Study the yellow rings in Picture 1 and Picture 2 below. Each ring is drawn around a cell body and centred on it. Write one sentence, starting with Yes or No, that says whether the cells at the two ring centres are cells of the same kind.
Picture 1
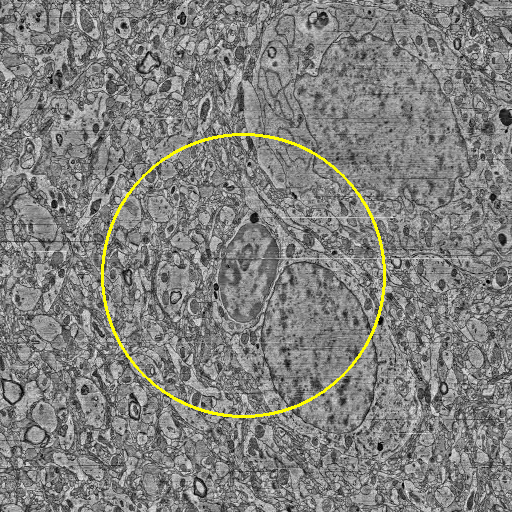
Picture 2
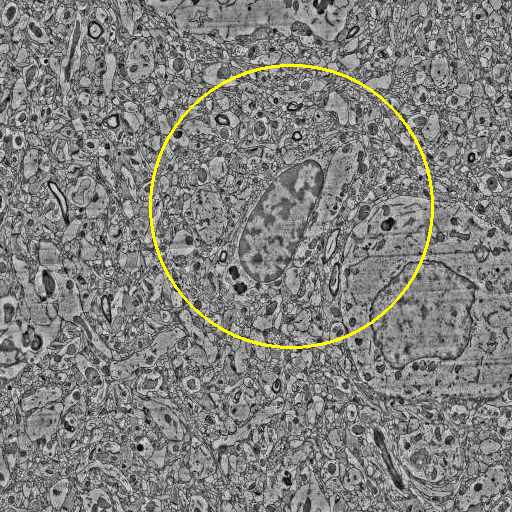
Yes, the cells at both ring centres are of the same kind.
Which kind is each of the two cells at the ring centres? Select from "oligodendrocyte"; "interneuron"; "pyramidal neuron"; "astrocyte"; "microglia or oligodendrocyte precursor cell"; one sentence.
Both pictures show a microglial cell or oligodendrocyte precursor cell at the centre of the ring.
